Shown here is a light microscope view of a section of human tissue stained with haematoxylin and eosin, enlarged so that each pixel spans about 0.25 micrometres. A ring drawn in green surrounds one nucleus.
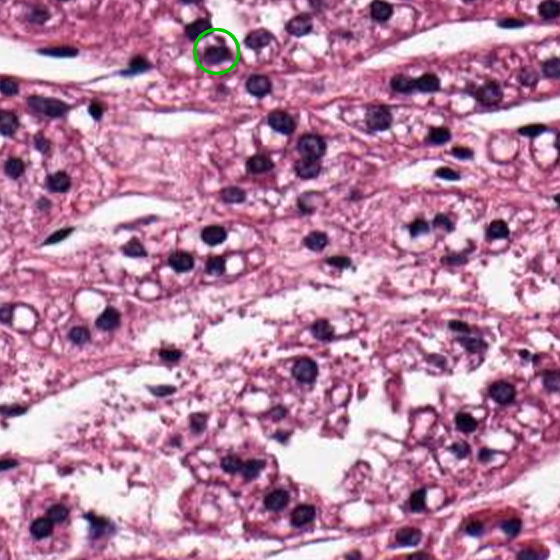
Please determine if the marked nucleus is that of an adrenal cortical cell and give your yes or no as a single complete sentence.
Yes, in the picture the marked nucleus belongs to an adrenal cortical cell.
